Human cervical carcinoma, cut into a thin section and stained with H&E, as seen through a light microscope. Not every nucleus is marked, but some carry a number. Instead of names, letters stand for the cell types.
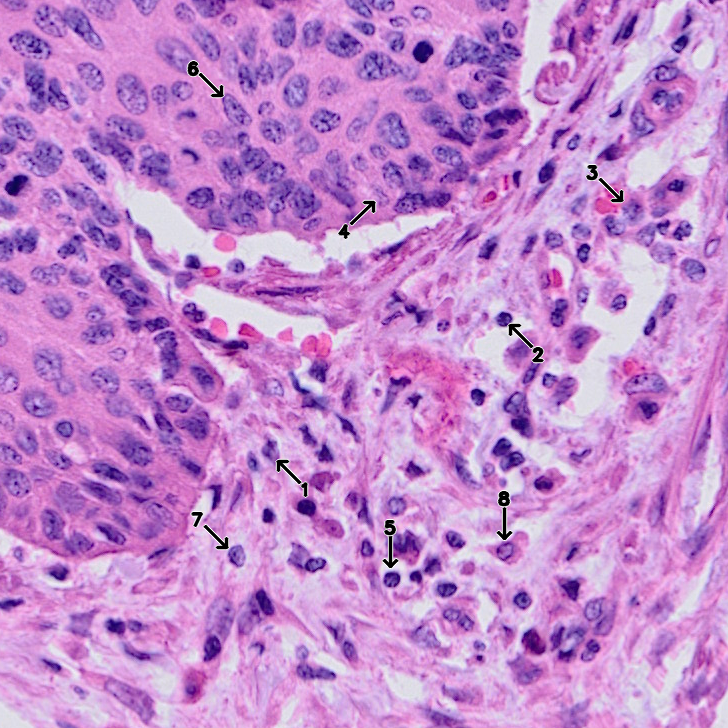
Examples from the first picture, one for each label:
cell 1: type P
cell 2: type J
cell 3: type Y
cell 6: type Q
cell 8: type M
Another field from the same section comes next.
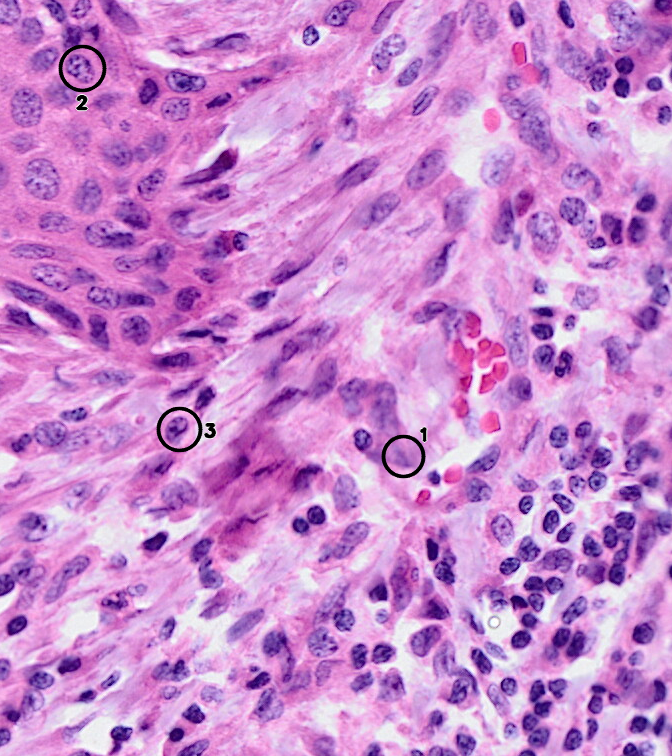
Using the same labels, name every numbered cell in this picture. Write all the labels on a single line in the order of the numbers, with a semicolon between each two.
type Y; type Q; type M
